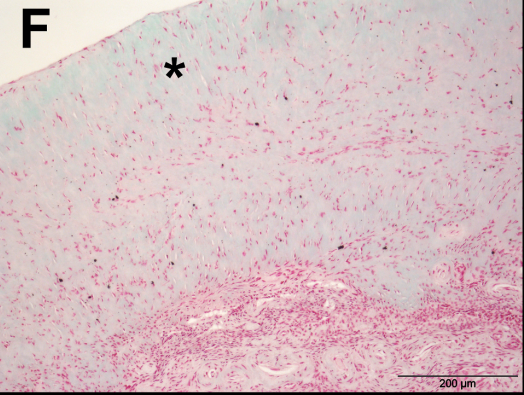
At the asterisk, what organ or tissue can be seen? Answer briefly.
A: Connective tissue.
